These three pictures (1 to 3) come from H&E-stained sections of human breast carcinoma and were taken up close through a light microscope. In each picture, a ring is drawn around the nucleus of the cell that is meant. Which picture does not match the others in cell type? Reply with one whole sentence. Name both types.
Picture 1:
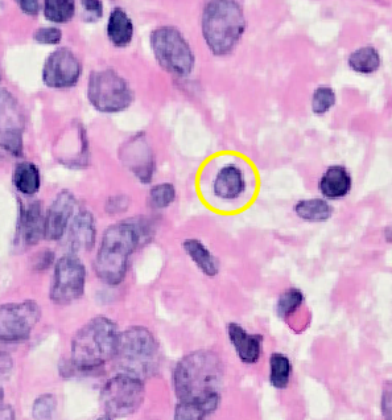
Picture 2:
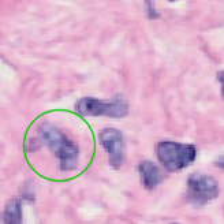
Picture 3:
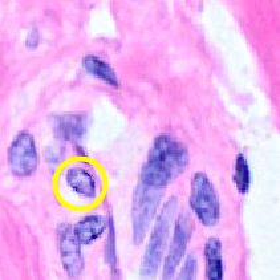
Unlike the rest, which show endothelial cells, picture 1 shows a lymphocyte.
